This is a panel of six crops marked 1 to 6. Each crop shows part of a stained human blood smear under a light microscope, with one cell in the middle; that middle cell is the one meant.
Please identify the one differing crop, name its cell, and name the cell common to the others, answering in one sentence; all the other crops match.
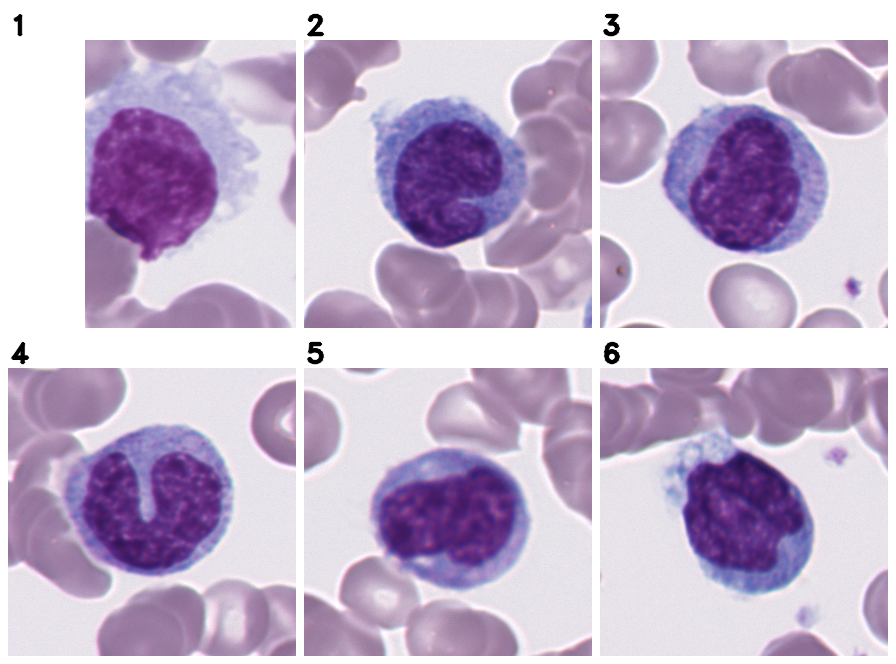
Crop 1 shows a hairy cell, while all of the others show monocytes.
